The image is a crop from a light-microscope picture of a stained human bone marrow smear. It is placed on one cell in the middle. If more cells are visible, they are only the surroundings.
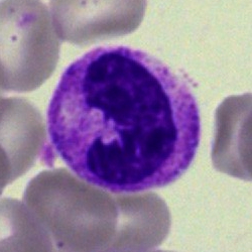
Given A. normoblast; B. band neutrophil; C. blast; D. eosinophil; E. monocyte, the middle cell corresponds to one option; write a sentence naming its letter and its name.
Here the central cell is a band neutrophil, and option B is correct.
